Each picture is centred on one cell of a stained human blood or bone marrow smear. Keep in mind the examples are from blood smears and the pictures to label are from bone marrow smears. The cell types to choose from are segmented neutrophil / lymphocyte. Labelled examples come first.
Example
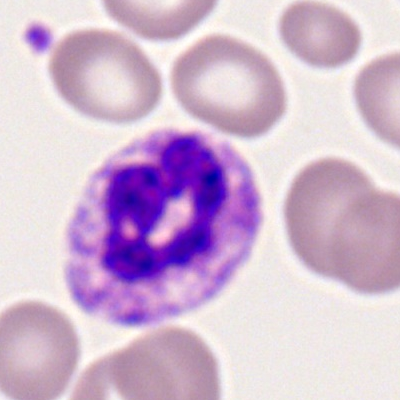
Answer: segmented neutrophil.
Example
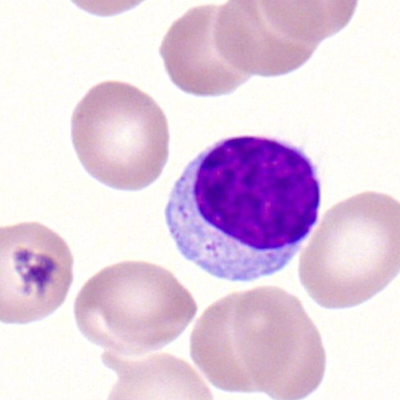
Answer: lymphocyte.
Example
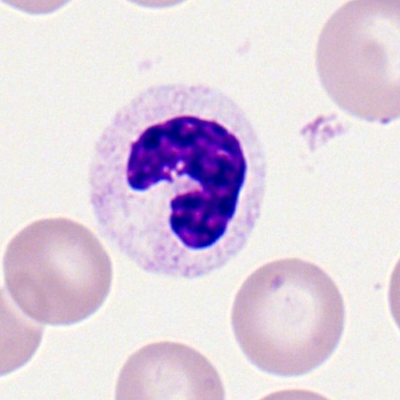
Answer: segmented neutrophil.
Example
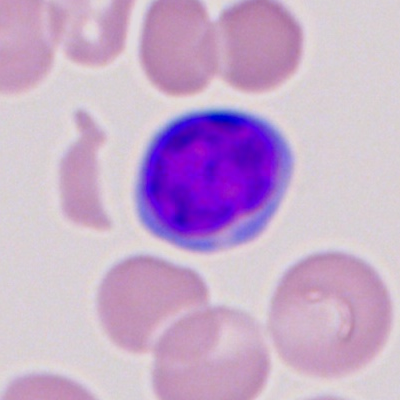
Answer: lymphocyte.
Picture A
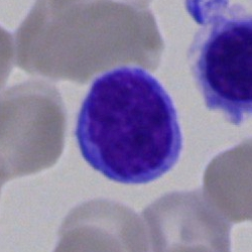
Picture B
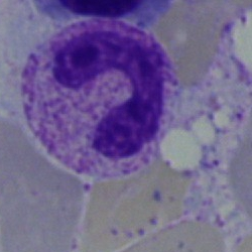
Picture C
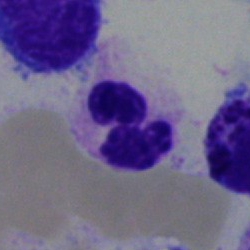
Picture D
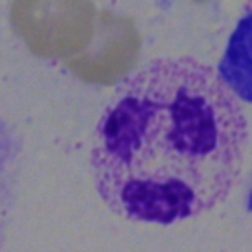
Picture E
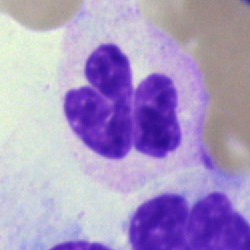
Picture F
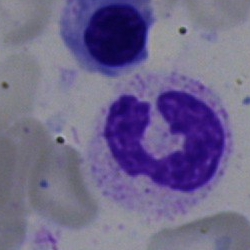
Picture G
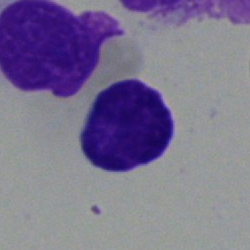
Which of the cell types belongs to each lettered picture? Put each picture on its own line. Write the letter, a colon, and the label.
A: lymphocyte.
B: segmented neutrophil.
C: segmented neutrophil.
D: segmented neutrophil.
E: segmented neutrophil.
F: segmented neutrophil.
G: lymphocyte.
